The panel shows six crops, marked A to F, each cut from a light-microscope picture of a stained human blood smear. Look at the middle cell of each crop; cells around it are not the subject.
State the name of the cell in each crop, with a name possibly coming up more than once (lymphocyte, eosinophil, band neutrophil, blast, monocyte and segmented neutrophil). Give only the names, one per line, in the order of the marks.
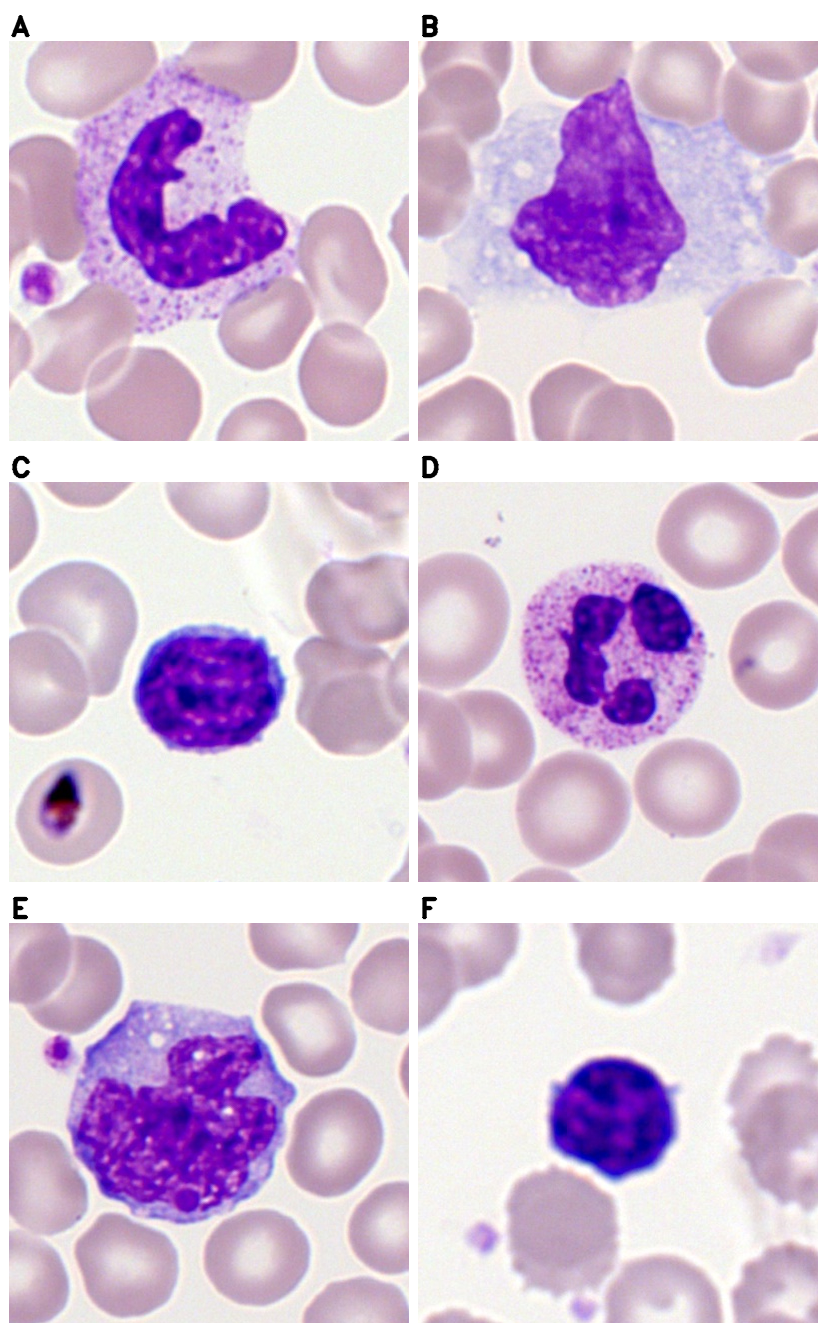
band neutrophil
monocyte
lymphocyte
segmented neutrophil
monocyte
lymphocyte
